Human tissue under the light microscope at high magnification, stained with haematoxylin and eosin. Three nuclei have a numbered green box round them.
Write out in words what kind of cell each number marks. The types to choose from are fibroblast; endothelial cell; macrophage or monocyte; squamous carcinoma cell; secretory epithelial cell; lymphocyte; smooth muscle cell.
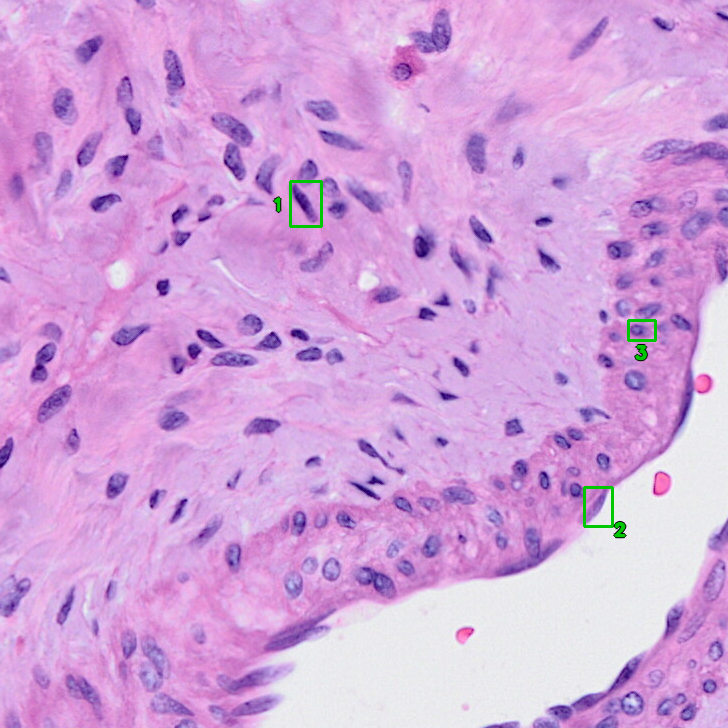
Cell 1 is a fibroblast. Cell 2 is an endothelial cell. Cell 3 is a smooth muscle cell.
